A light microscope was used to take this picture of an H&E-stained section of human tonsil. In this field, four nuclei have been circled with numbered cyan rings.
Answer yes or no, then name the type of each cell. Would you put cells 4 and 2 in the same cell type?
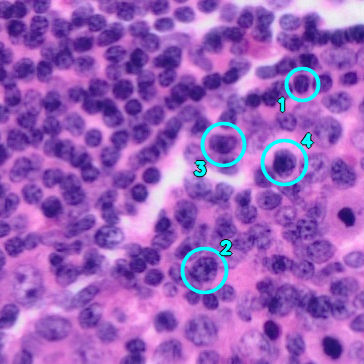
Yes, both cell 4 and cell 2 are classified as proliferating B cells.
